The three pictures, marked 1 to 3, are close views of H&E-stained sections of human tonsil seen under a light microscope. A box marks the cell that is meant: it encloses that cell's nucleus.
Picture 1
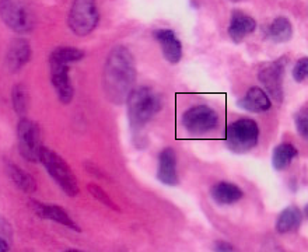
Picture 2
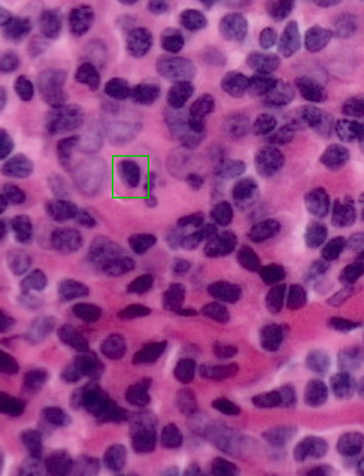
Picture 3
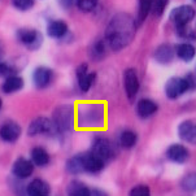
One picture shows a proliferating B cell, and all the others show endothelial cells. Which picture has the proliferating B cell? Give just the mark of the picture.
1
